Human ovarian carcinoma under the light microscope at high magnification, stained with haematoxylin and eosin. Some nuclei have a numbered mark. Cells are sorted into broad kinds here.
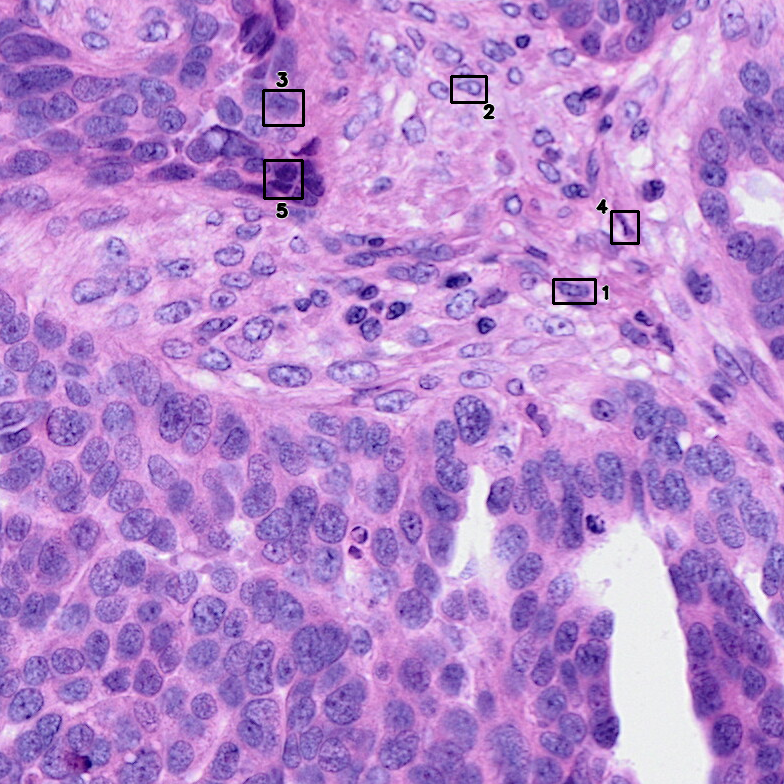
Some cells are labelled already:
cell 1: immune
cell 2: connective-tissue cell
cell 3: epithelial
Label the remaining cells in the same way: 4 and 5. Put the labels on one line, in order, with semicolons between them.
connective-tissue cell; epithelial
